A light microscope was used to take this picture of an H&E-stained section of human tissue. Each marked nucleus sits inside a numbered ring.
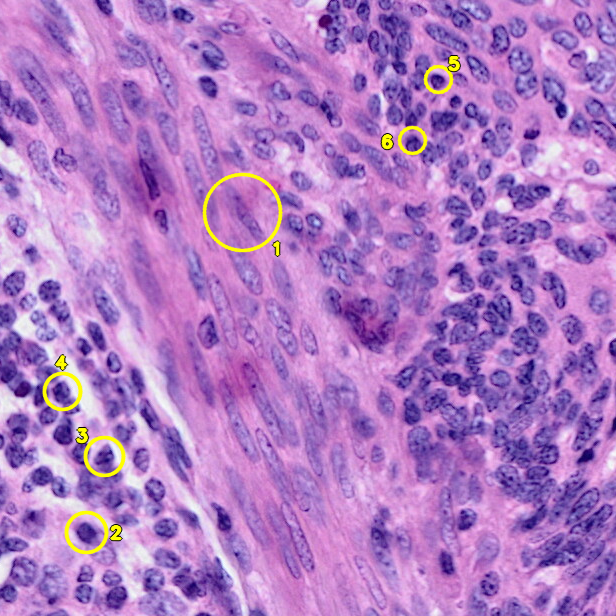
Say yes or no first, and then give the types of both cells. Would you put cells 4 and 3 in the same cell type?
Yes, of the numbered cells, 4 and 3 are both lymphocytes.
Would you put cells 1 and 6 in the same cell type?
No; cell 1 is a smooth muscle cell, whereas cell 6 is a squamous carcinoma cell.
